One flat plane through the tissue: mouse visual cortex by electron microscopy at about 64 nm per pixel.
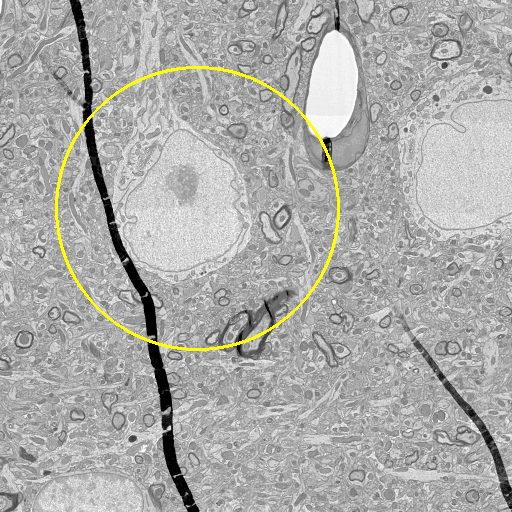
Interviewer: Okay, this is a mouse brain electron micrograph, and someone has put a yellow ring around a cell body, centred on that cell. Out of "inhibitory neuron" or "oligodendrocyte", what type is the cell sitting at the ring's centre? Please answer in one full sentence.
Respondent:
The cell at the centre of the yellow ring in this picture is an inhibitory neuron.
